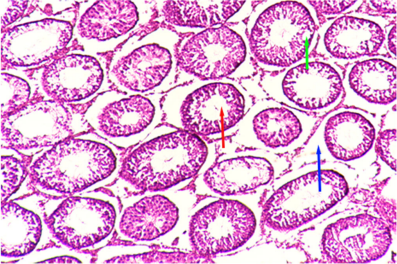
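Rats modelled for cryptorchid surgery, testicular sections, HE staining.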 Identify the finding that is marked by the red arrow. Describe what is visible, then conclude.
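The arrow points into a round tubule whose central open space is wide. The lining of the tubule forms a relatively thin ring around a large empty centre. On this evidence: enlarged lumen of the seminiferous tubules.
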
